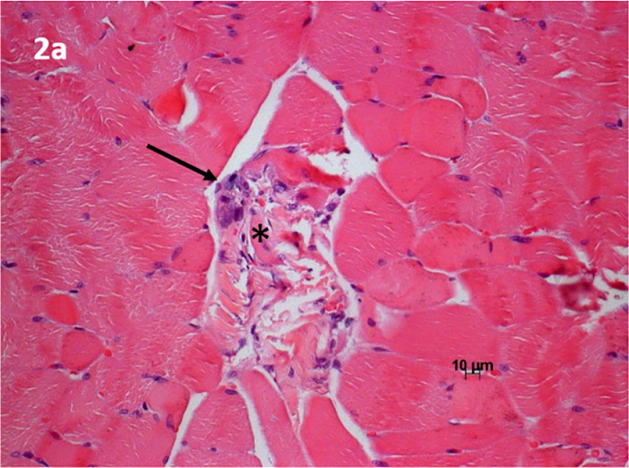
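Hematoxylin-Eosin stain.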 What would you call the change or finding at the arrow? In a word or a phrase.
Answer: Inflammatory infiltrations.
